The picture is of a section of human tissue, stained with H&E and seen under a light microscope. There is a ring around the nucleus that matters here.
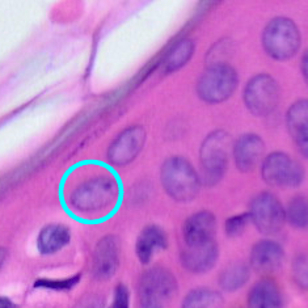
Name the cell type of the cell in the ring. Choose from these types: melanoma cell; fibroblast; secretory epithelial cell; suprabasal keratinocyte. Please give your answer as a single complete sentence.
By its classification, the cell in the ring is a suprabasal keratinocyte.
